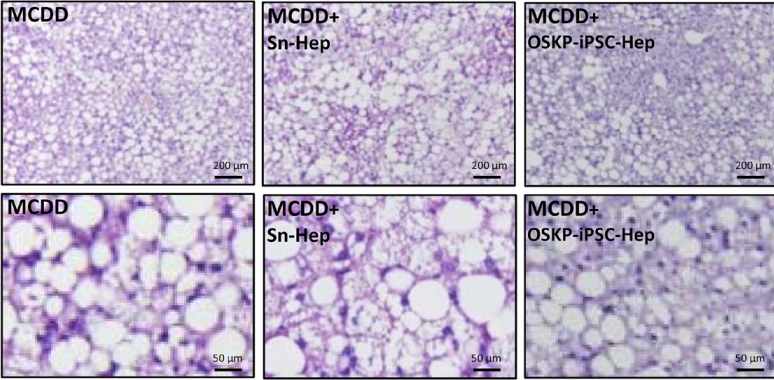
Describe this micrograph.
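These are sections of liver parenchyma at low and higher magnification, in which the hepatocytes are riddled with clear, round vacuoles of fat. The vacuoles range from small droplets to large spaces that crowd the cells and push the pink cytoplasm into thin strands between them. Dark purple nuclei are scattered among the vacuoles, often pressed to the edges of the cells. At low magnification the tissue looks like a pale, lacy meshwork with few solid areas of pink cytoplasm. In some of the views the vacuoles are smaller and more uniform, and more purple-stained tissue remains between them.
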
